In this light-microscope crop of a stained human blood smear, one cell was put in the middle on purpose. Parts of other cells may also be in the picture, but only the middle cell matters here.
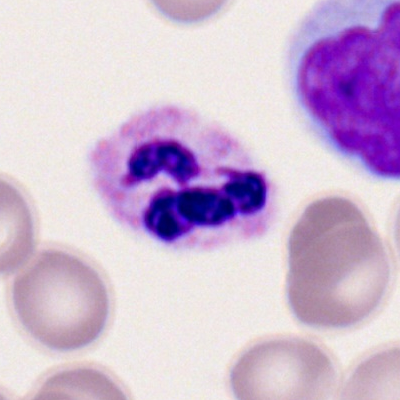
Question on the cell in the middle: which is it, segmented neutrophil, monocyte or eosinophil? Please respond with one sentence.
This particular crop is centered on a segmented neutrophil.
